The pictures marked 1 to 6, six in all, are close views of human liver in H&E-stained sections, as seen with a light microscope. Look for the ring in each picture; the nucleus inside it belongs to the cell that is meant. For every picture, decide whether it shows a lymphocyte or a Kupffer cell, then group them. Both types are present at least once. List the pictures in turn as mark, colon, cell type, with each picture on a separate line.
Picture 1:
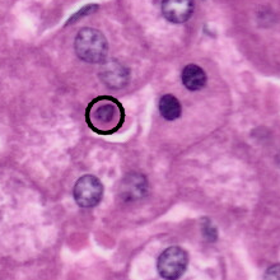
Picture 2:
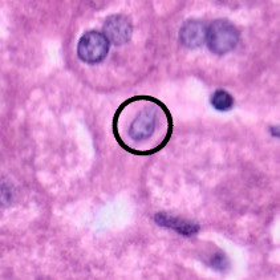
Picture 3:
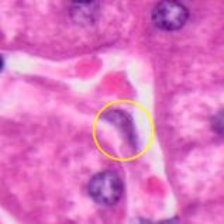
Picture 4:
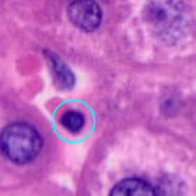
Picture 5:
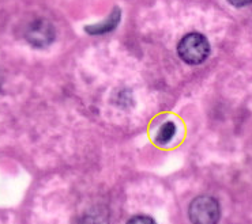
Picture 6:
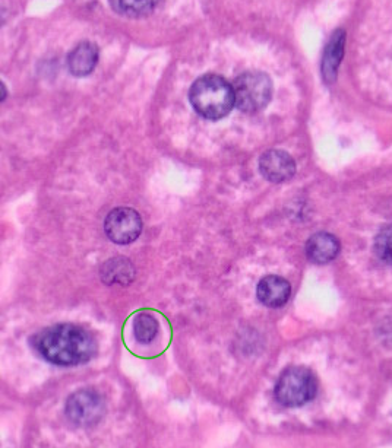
1: Kupffer cell
2: Kupffer cell
3: Kupffer cell
4: lymphocyte
5: lymphocyte
6: Kupffer cell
